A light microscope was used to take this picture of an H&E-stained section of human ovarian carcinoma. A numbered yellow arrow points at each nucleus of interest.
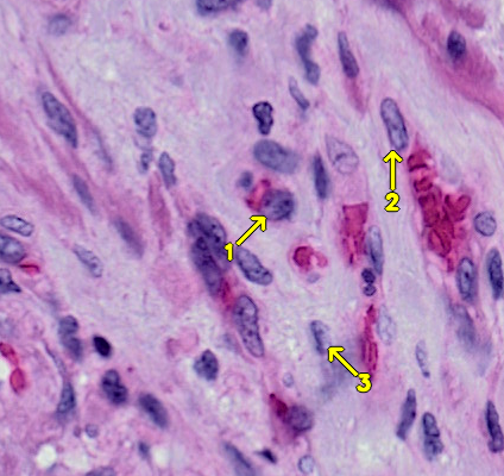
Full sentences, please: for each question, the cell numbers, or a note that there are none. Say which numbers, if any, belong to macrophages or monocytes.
Concerning the numbered cells, no macrophages or monocytes are among them.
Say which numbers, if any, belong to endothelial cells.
The cells with the number labels 1 and 2 are endothelial cells.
